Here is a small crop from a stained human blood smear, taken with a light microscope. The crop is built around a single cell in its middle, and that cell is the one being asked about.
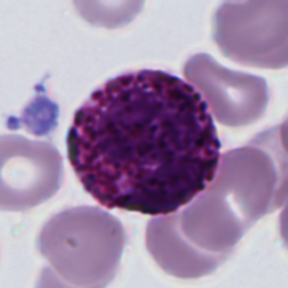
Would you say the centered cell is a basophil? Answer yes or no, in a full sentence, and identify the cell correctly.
Yes, the cell that lies centrally is a basophil.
